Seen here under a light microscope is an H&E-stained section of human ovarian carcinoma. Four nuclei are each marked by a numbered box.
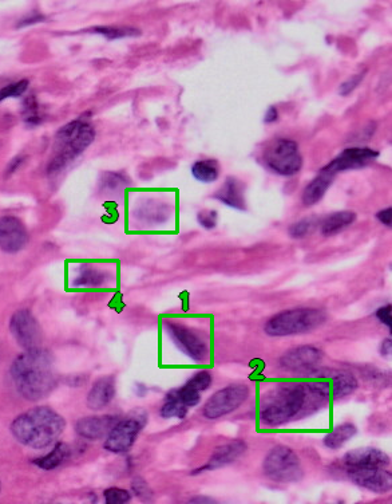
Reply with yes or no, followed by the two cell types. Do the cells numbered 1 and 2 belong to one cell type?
Yes, cells 1 and 2 are both termed carcinoma cells.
